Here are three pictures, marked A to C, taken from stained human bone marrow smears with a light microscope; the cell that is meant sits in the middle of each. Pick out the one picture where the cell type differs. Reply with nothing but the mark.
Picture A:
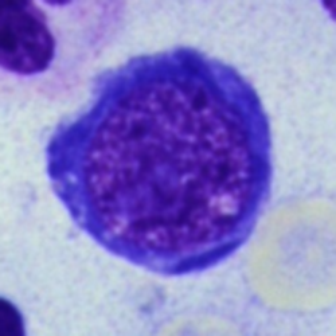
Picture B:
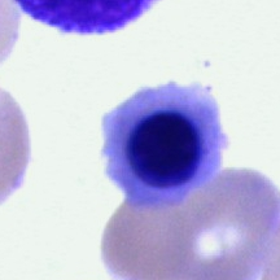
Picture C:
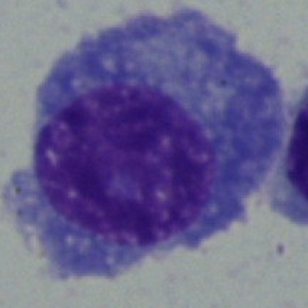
C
